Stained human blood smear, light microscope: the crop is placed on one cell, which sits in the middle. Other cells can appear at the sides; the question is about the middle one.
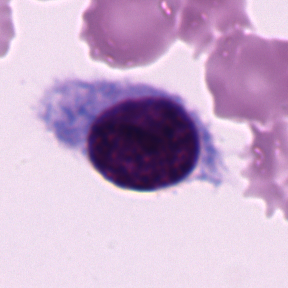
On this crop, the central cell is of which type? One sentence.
Located at the centre of the crop is a hairy cell.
